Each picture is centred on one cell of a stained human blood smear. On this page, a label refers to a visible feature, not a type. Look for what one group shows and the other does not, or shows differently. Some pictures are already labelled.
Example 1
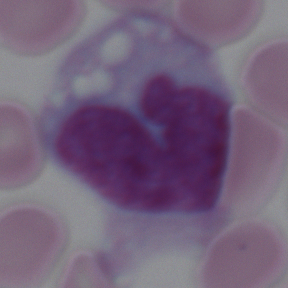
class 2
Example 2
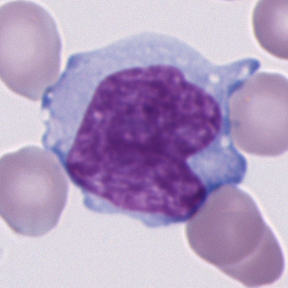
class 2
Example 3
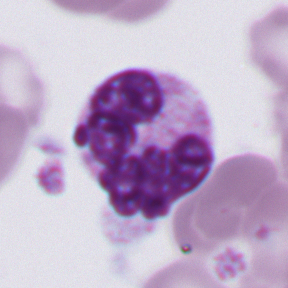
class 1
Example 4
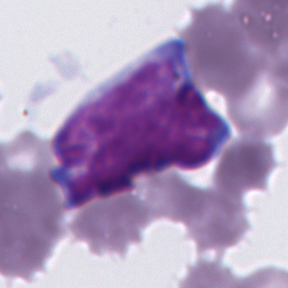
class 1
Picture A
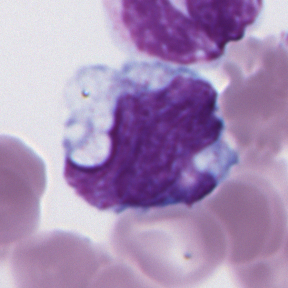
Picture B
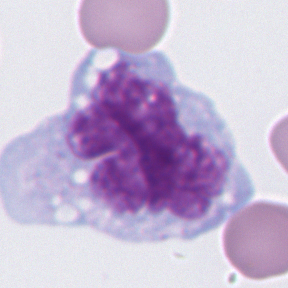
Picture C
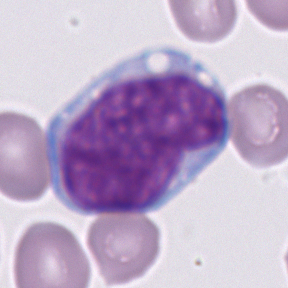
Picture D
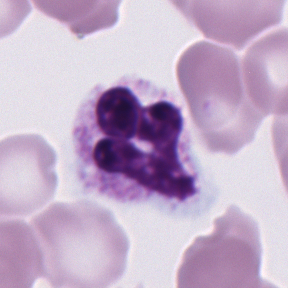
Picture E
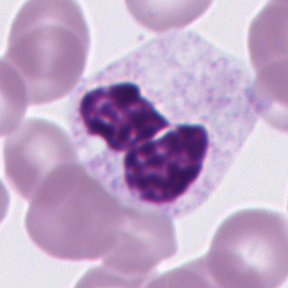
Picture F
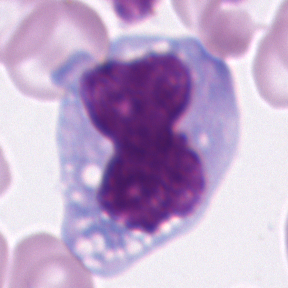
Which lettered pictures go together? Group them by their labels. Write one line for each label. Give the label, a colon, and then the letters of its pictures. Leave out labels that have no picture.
class 2: A, B, C, F
class 1: D, E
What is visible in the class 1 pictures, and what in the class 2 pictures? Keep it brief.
In class 1: no vacuoles. In class 2: vacuoles present.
